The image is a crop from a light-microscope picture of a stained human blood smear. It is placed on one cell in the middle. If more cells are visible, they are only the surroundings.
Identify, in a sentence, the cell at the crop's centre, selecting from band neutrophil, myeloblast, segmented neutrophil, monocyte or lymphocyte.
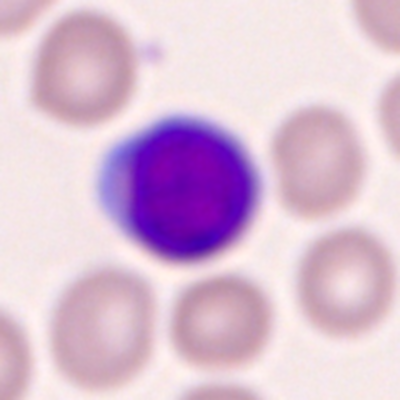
As for the cell in the middle, it is a lymphocyte.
